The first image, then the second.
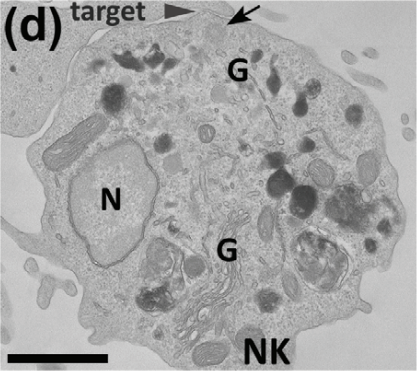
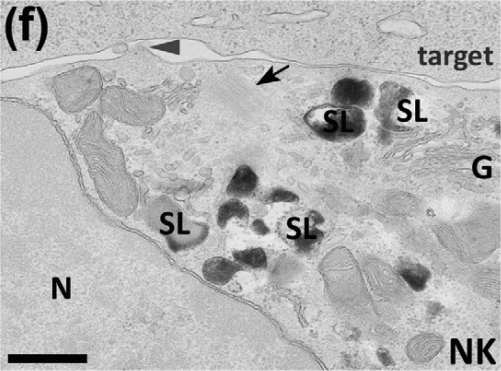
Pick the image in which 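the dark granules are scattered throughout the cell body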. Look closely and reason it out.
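Second image: the dark granules are clustered in the cytoplasm near the centriole facing the target cell. First image: dark granules lie all around the cytoplasm of the cell, on both sides of the nucleus.
Conclusion: the first image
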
